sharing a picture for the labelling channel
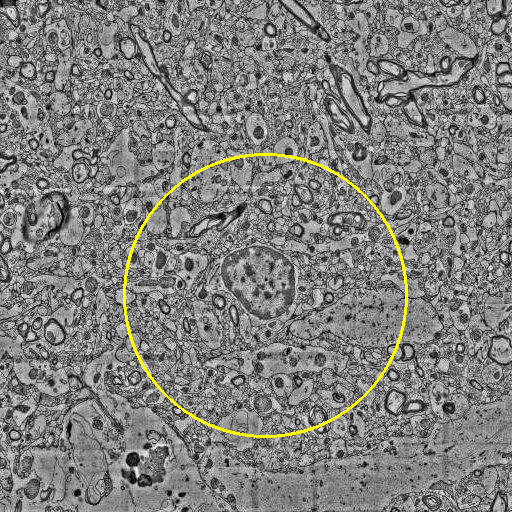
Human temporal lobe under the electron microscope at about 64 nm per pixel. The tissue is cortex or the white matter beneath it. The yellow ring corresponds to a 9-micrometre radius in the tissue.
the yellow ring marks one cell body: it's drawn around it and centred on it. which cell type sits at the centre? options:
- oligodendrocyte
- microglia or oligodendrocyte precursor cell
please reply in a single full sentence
In the picture, the cell at the ring's centre is a microglial cell or oligodendrocyte precursor cell, going by the list.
